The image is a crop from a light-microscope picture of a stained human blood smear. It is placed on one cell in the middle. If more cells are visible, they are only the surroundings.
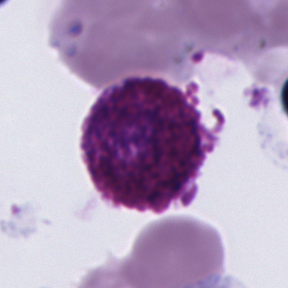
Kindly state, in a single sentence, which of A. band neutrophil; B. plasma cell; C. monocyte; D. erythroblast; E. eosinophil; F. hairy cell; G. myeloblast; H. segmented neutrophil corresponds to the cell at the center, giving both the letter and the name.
Option E is the correct one; it names the central cell as an eosinophil.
